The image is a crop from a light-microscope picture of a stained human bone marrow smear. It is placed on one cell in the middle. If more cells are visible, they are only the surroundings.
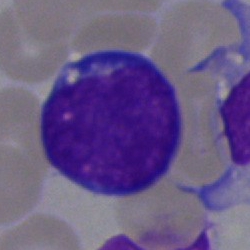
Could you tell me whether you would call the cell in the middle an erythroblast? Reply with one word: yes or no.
no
